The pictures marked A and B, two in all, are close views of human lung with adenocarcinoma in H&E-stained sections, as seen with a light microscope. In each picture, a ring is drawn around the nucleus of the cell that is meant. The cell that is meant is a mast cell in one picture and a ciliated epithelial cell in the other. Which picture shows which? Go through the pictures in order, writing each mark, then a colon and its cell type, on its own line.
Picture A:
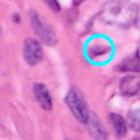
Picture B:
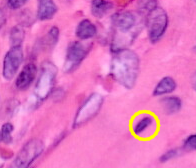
A: ciliated epithelial cell
B: mast cell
